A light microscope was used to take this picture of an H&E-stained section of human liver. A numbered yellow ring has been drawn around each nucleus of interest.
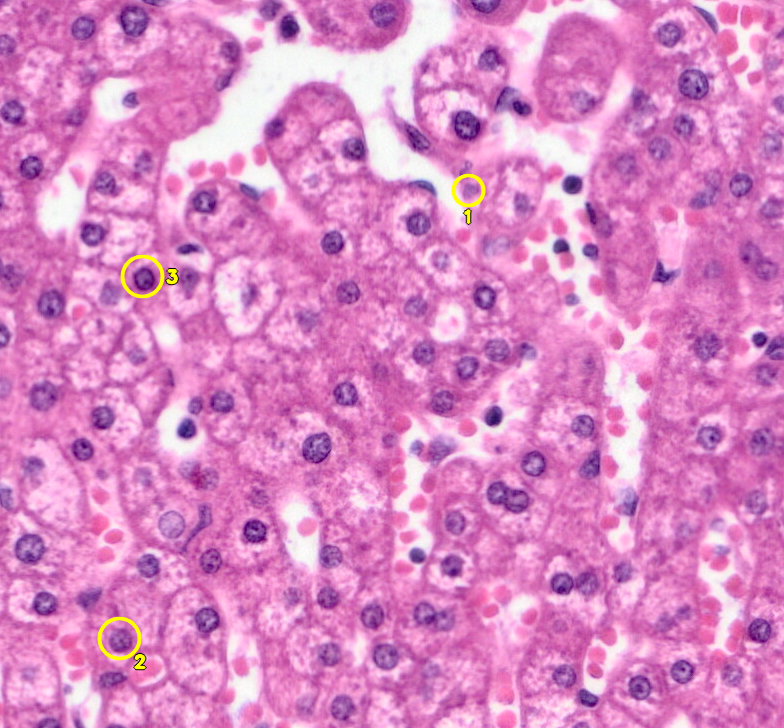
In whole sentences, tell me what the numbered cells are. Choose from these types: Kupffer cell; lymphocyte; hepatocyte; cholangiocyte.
Cell 1 is a Kupffer cell. Cells 2 and 3 are hepatocytes.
